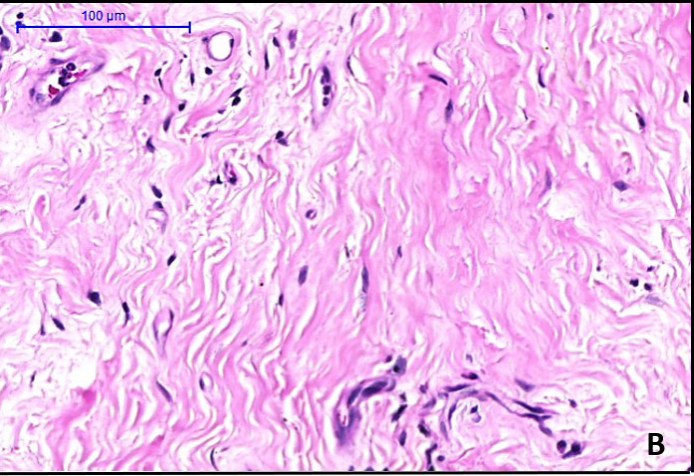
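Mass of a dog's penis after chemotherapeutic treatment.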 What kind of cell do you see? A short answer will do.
Fibroblasts.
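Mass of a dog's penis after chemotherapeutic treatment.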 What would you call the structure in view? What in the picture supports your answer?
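Collagenous fibers. Abundant wavy pale pink eosinophilic fibres fill most of the field. The fibres run in loose, roughly parallel wavy bundles between sparse nuclei.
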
